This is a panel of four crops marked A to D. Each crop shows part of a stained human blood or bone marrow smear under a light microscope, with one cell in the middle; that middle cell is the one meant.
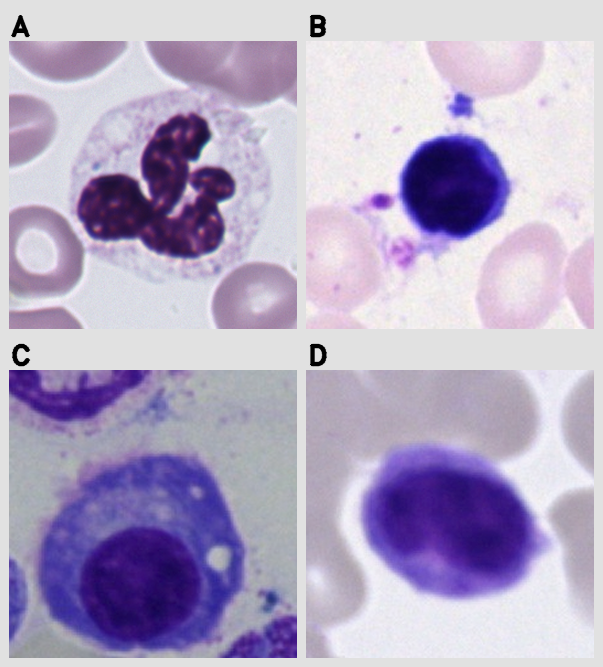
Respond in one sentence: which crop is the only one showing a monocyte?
Selected crop: D, which is the one that shows a monocyte.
